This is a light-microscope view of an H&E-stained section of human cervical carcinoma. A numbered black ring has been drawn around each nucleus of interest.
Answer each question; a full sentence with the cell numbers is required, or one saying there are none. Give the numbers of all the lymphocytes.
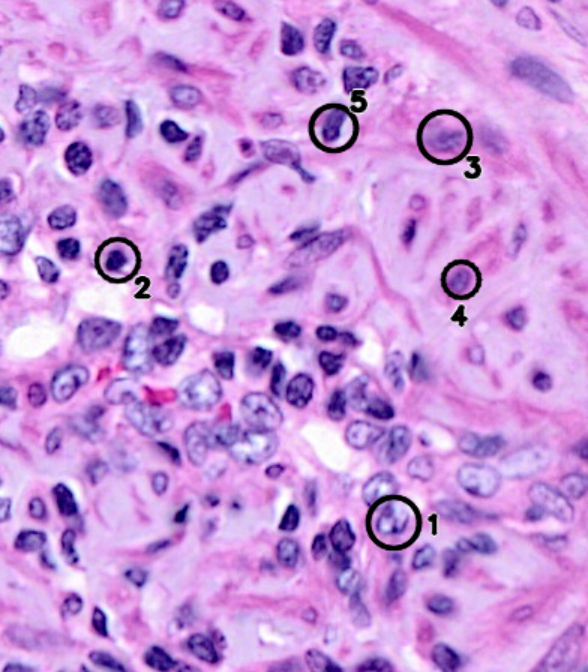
Into the category of lymphocytes fall the cells numbered 2 and 5.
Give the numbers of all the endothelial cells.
Only one choice fits: cell 1 is an endothelial cell, and no other.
